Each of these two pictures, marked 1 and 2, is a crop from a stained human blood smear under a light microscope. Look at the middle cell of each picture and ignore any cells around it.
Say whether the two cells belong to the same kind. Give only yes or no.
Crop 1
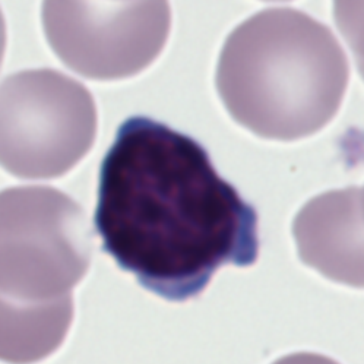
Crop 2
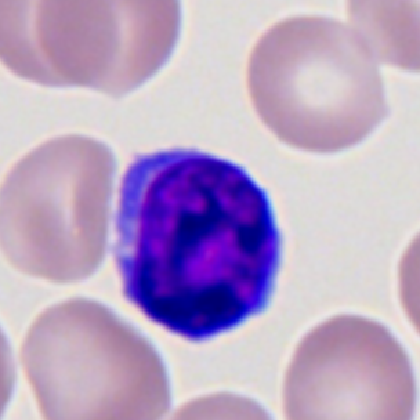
yes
